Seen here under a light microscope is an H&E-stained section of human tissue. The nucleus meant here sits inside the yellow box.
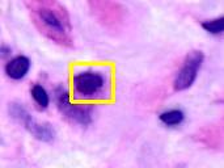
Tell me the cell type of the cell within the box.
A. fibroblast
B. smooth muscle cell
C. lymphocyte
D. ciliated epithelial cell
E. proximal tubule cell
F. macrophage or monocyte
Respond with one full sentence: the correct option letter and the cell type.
The correct choice is option C; the cell within the box is a lymphocyte.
